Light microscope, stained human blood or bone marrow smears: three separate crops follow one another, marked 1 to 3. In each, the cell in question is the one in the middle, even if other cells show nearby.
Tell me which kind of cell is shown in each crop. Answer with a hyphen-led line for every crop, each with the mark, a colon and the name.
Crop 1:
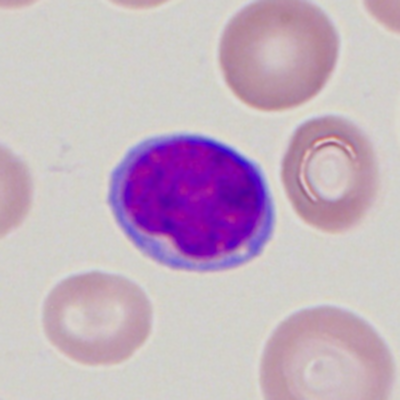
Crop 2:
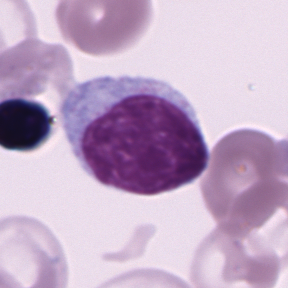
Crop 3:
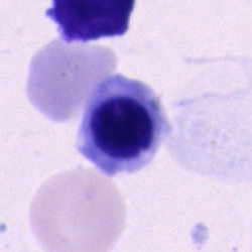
- 1: lymphocyte
- 2: lymphocyte
- 3: erythroblast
